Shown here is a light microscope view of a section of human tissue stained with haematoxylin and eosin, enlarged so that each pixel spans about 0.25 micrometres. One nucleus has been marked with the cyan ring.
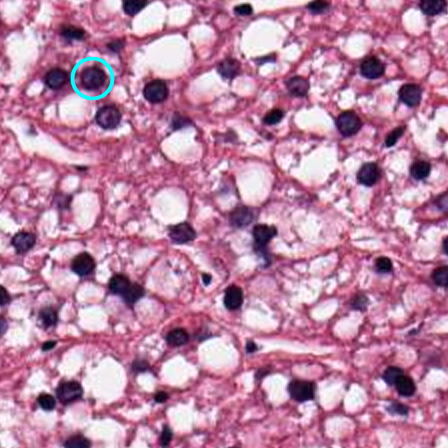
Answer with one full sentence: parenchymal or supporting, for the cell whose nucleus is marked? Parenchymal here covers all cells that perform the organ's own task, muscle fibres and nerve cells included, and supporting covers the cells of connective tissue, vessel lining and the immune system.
Of the parenchymal cells, the one holding the marked nucleus is an adrenal cortical cell.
